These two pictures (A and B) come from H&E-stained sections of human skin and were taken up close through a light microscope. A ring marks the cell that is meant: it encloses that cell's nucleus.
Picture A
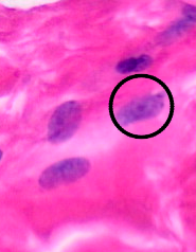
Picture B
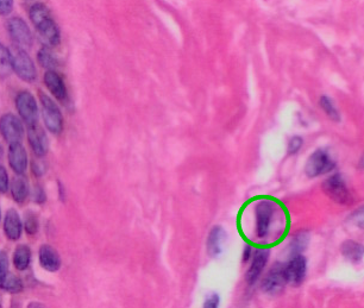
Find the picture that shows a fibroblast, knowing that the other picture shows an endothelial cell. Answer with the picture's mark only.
A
